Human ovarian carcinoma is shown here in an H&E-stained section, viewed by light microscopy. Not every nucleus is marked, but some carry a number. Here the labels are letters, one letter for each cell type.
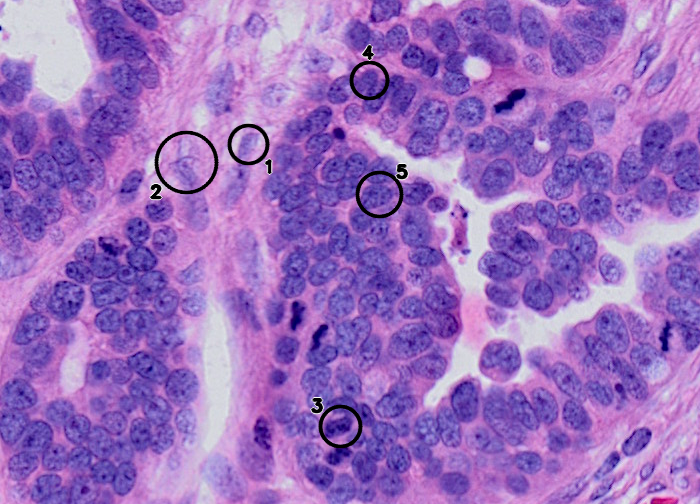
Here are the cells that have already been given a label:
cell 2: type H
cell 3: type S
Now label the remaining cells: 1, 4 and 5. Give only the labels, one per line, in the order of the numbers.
type H
type S
type S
